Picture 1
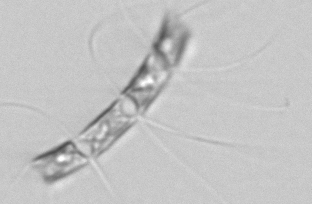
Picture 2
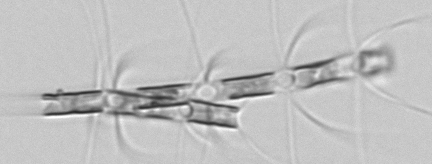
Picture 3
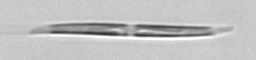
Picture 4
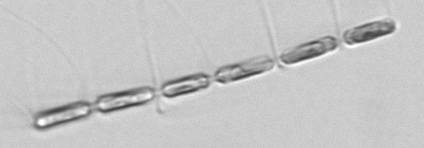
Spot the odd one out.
Picture 3 (Pseudo-nitzschia among Chaetoceros).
